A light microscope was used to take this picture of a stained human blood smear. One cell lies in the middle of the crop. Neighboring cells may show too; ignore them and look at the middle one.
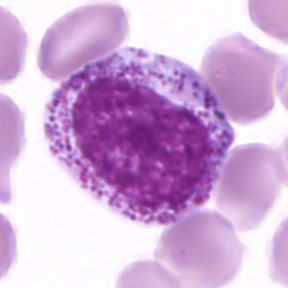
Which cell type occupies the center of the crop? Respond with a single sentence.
In the middle of this smear crop is a myelocyte.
